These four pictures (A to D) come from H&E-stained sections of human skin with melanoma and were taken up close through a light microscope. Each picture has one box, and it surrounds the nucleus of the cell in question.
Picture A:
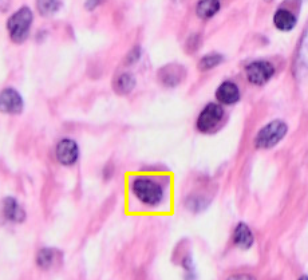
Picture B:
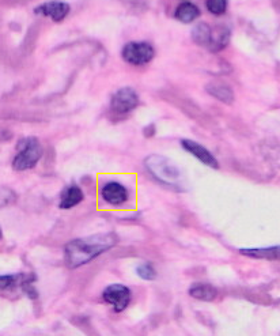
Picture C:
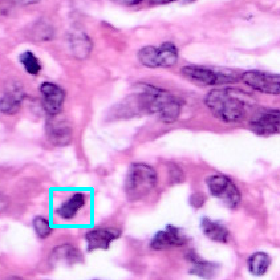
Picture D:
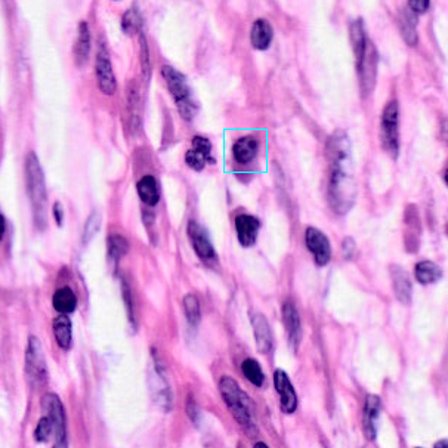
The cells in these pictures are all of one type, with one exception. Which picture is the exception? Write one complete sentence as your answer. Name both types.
Picture C is the odd one out: it shows a lymphocyte, while the others show plasma cells.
